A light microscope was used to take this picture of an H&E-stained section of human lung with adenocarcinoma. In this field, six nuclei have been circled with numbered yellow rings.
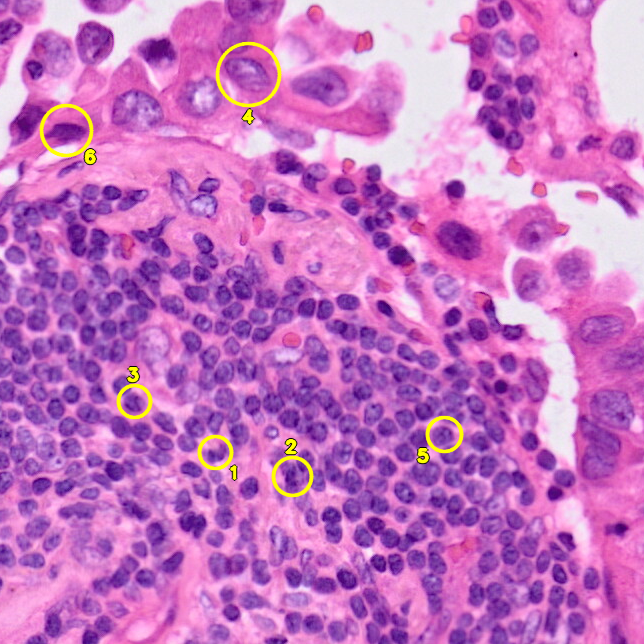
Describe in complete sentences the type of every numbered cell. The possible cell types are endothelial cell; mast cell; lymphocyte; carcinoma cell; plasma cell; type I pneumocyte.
Cell 1 is a lymphocyte, cell 2 is a lymphocyte, cell 3 is a lymphocyte, cell 4 is a carcinoma cell, cell 5 is a lymphocyte and cell 6 is a carcinoma cell.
